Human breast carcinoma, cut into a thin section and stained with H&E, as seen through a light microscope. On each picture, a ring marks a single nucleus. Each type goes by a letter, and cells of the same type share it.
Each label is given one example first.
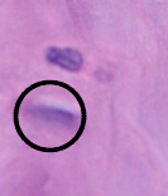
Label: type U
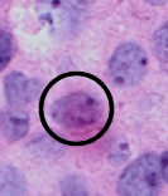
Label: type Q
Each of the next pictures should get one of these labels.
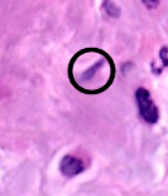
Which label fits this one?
type U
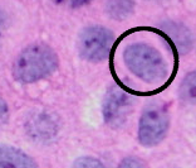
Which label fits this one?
type Q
